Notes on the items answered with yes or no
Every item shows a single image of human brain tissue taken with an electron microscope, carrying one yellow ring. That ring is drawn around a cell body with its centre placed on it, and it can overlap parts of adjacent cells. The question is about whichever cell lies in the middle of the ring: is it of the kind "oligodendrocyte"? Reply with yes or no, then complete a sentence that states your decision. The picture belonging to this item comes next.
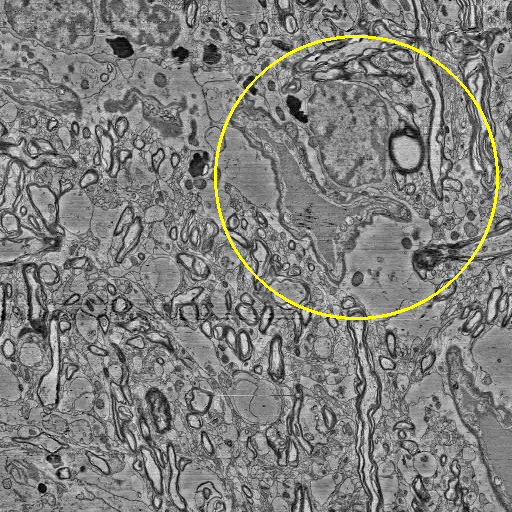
Yes, this micrograph shows a cell of that kind in the middle of the ring.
